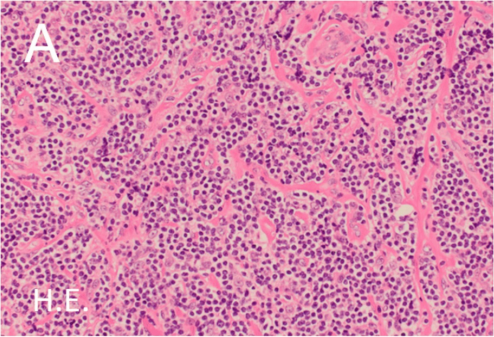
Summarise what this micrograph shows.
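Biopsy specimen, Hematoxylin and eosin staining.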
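This field shows a diffuse infiltrate of small to medium-sized lymphoid cells filling the tissue. The cells have round to slightly irregular dark purple nuclei with scant cytoplasm, and some show a rim of paler cytoplasm. They lie in closely packed sheets without any follicle formation. Thin pink bands of collagen and small vessels run through the infiltrate, dividing it into irregular clusters and cords.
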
